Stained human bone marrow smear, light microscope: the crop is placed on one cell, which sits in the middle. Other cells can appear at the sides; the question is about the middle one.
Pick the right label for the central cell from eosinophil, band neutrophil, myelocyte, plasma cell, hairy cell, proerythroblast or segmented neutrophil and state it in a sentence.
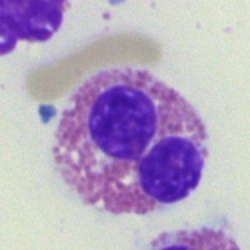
Centrally within this crop lies an eosinophil.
